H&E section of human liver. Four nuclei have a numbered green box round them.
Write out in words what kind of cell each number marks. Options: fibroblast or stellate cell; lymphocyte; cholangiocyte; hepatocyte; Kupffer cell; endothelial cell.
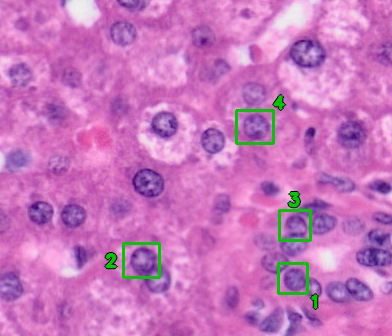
Cell 1 is a cholangiocyte, cell 2 is a hepatocyte, cell 3 is a cholangiocyte and cell 4 is a hepatocyte.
